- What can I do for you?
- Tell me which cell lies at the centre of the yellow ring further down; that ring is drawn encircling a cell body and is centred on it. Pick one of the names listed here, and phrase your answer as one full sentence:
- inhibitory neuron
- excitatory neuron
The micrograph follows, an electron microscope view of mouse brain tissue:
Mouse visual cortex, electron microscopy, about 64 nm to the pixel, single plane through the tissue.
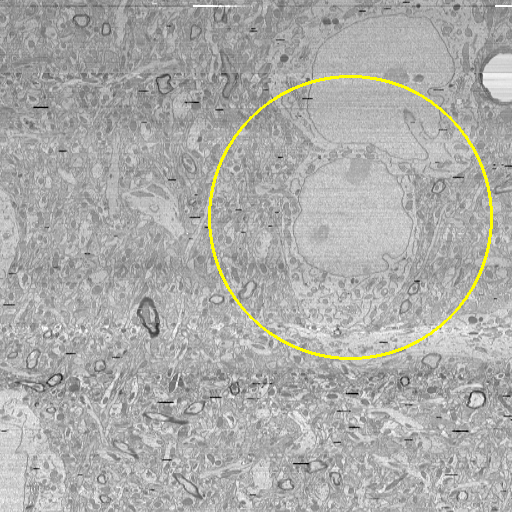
The cell whose body lies at the centre of the yellow ring is an inhibitory neuron.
